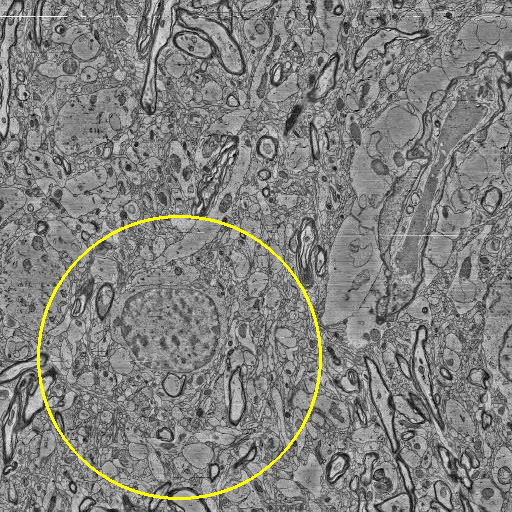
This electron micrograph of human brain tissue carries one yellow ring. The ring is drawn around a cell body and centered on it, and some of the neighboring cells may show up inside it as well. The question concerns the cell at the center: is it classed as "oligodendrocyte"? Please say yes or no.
Yes, it is classed that way.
